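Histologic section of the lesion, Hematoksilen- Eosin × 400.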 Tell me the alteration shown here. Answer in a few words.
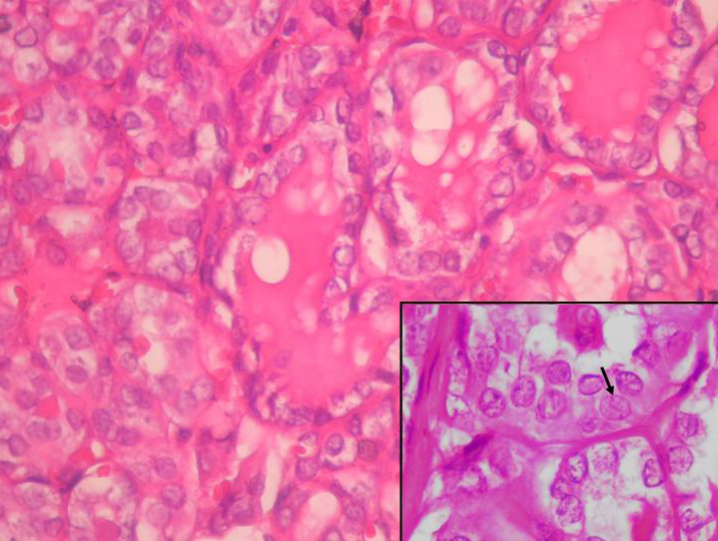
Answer: Ground glass nuclei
